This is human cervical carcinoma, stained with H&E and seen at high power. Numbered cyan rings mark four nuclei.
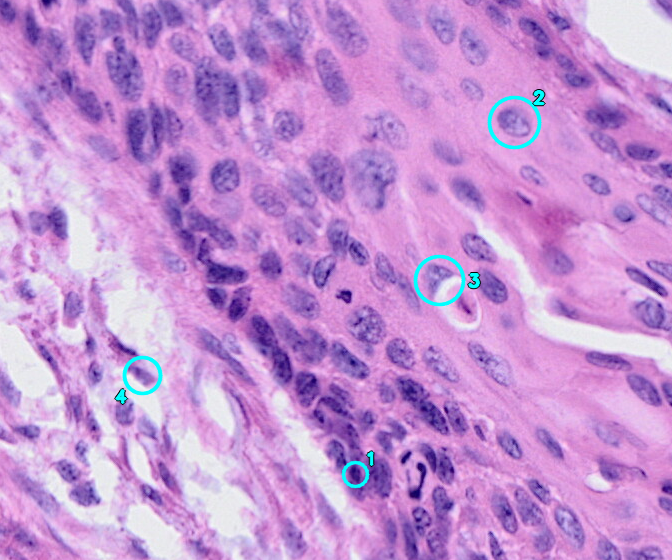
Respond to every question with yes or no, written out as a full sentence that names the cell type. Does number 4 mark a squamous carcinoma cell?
No, cell 4 is to be classed as a fibroblast, not a squamous carcinoma cell.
